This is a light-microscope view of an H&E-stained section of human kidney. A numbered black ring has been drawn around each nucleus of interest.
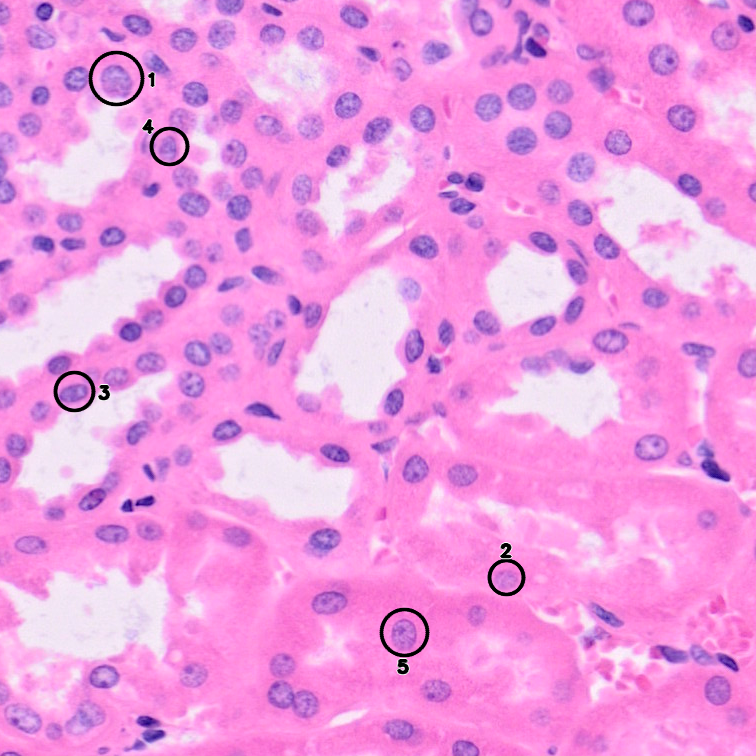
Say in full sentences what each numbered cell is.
Cell 1 is a loop of Henle or distal tubule cell, cell 2 is a proximal tubule cell, cell 3 is a loop of Henle or distal tubule cell, cell 4 is a loop of Henle or distal tubule cell and cell 5 is a proximal tubule cell.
